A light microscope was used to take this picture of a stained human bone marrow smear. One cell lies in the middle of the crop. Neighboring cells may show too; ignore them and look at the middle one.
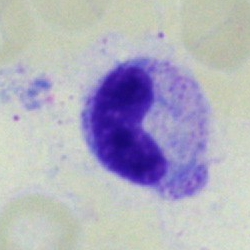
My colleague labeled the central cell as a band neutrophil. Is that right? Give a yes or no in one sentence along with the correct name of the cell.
Yes, the cell lying in the middle is a band neutrophil.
